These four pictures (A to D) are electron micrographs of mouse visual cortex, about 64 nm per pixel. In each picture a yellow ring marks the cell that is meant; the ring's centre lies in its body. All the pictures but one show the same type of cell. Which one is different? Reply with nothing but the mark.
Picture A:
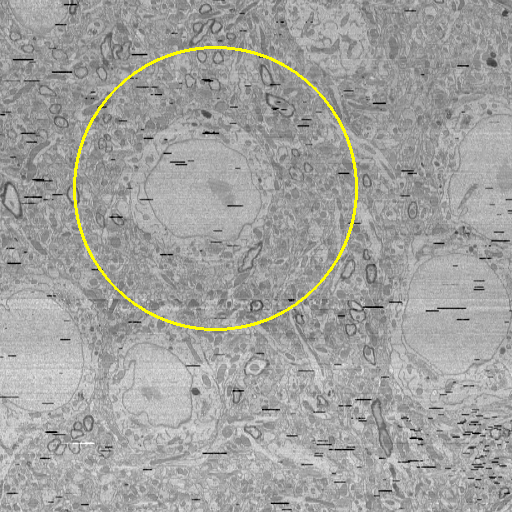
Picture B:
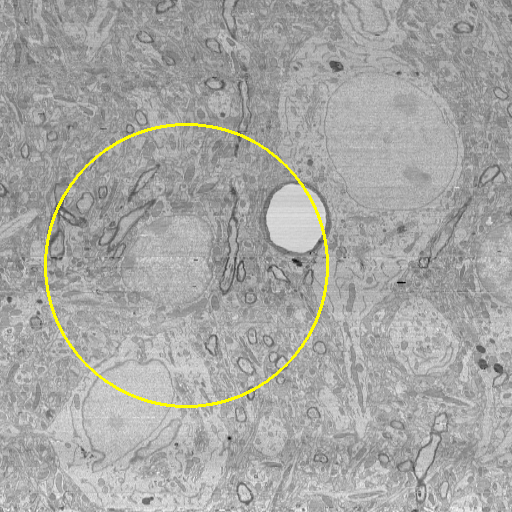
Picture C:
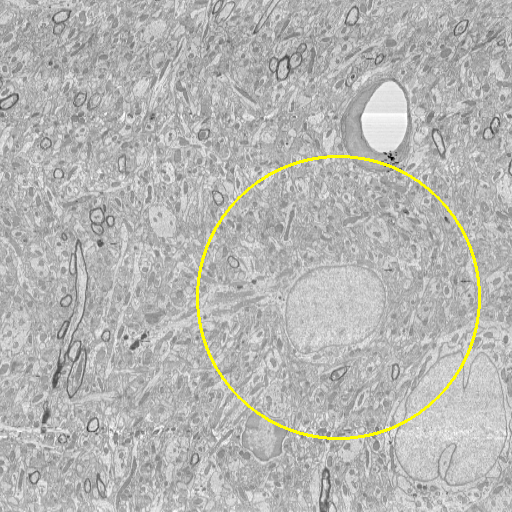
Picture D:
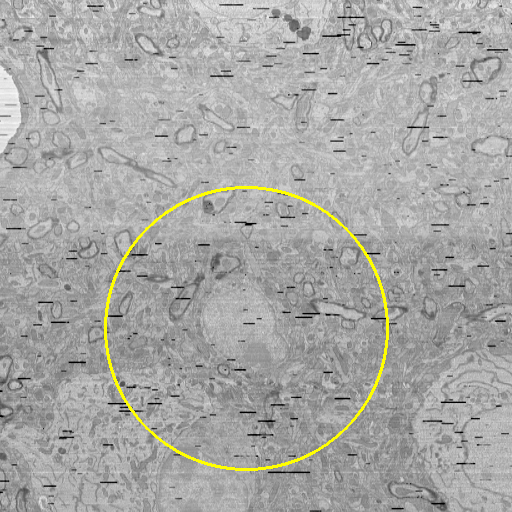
A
